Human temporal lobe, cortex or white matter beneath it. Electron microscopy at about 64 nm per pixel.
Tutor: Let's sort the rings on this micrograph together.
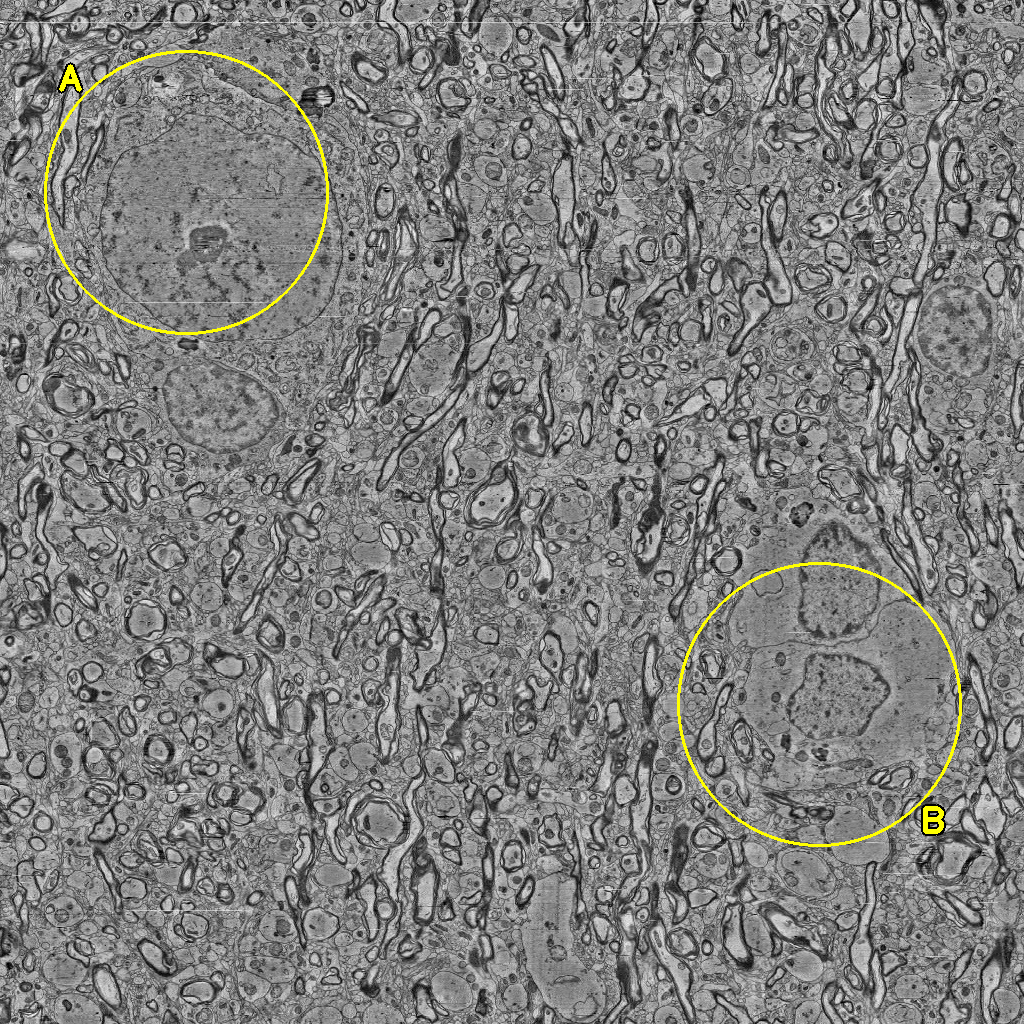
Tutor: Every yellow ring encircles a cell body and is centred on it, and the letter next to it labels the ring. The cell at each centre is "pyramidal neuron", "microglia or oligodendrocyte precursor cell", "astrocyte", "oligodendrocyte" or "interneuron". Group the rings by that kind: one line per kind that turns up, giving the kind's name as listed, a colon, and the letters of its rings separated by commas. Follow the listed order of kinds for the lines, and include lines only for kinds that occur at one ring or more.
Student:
pyramidal neuron: A
astrocyte: B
